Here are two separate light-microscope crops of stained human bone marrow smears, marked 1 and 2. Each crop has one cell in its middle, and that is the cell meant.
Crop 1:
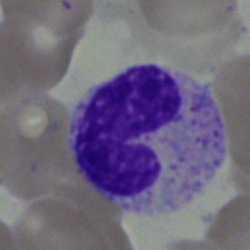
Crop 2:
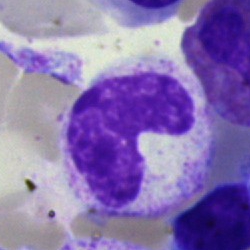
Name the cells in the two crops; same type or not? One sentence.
Yes, in the two crops, band neutrophils are the cells at the centre.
